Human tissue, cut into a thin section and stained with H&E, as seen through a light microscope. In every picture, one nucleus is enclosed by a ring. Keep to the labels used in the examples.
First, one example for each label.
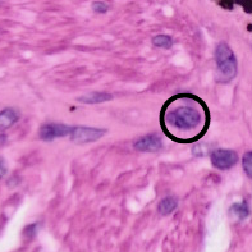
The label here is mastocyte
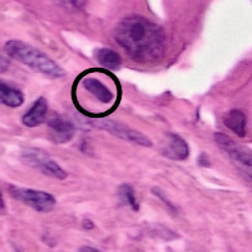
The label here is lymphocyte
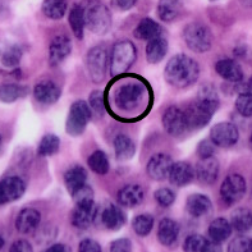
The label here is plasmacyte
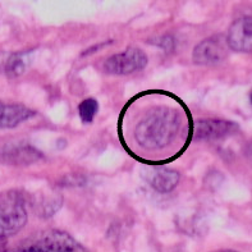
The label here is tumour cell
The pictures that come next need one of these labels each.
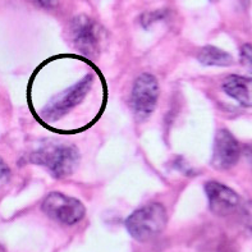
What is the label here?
tumour cell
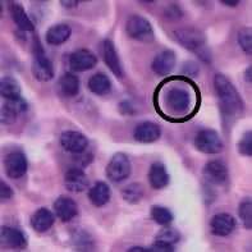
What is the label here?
plasmacyte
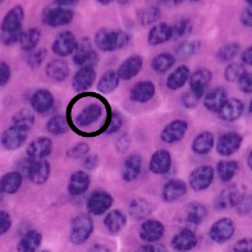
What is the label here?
plasmacyte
